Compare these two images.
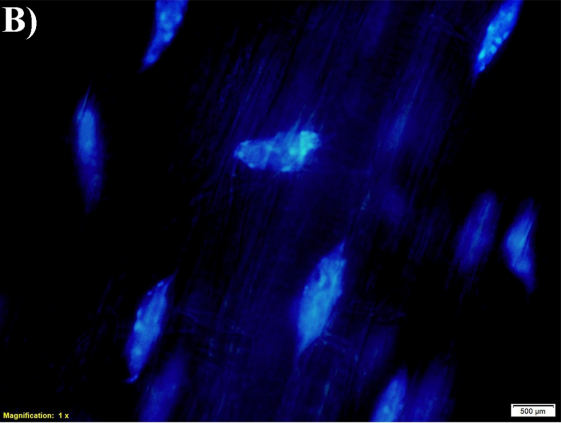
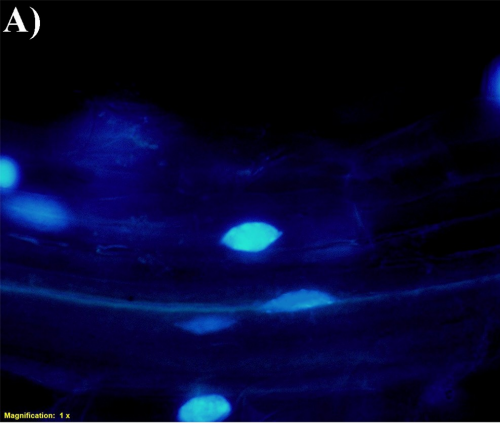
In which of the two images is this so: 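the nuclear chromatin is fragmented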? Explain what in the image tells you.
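First image: nuclei are irregular with patchy, clumped blue staining. Second image: nuclei are smooth ovals with even, homogeneous blue staining.
Hence: the first image.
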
